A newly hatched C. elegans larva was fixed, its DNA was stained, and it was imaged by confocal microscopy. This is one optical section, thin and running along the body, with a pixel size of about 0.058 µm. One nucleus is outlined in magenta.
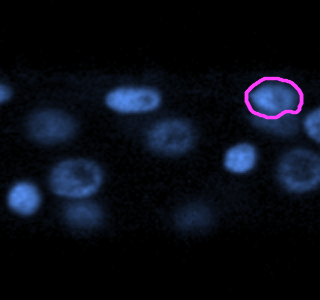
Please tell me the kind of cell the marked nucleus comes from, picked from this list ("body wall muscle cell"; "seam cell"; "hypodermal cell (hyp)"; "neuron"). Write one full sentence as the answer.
This nucleus is from a body wall muscle cell.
